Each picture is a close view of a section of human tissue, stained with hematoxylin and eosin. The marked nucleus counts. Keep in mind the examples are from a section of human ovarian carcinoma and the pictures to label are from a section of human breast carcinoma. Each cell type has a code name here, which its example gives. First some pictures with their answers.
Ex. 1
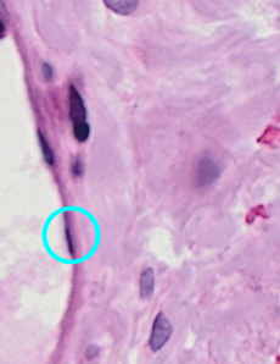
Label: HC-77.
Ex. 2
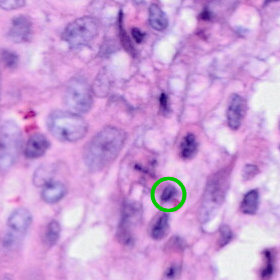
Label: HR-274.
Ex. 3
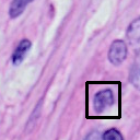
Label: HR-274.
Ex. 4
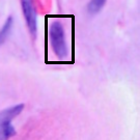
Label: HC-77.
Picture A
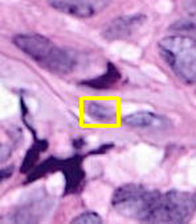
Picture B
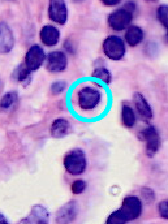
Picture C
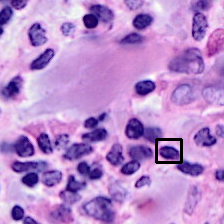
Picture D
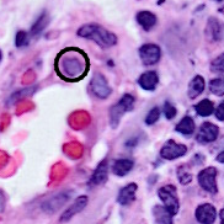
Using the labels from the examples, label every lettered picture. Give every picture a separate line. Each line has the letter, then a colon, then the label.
A: HC-77.
B: HR-274.
C: HR-274.
D: HC-77.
